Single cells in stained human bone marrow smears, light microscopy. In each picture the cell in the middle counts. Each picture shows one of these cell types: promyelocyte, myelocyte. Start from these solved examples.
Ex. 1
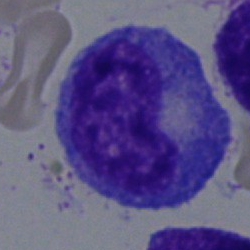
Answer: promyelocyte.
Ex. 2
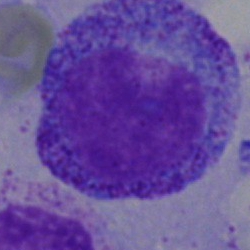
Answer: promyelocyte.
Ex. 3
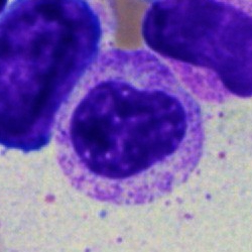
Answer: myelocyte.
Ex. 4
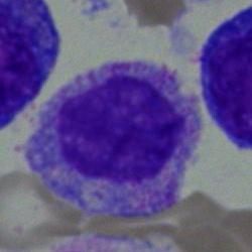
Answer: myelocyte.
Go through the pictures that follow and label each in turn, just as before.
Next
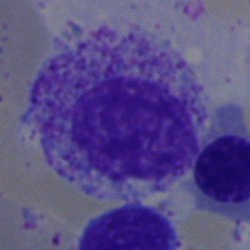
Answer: myelocyte.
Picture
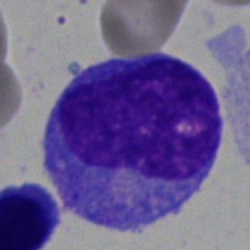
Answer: promyelocyte.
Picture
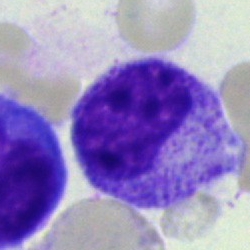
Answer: myelocyte.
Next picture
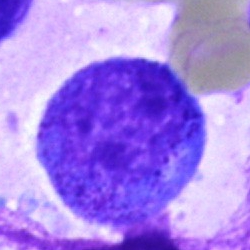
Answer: promyelocyte.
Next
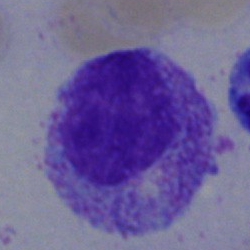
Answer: myelocyte.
